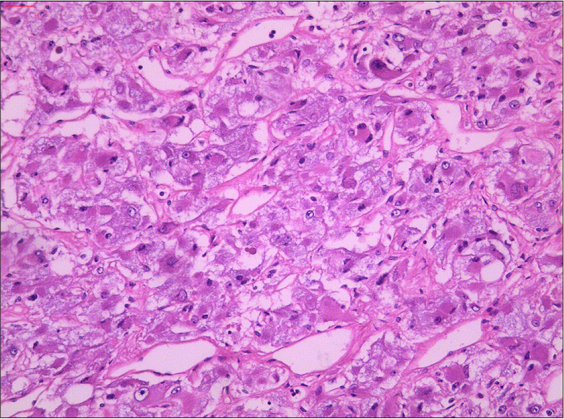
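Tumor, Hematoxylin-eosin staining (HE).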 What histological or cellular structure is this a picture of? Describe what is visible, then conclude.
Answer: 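Tumor cells lie in clusters and cords. Thin pink strands separate the cell groups.
Answer: nests and beams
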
